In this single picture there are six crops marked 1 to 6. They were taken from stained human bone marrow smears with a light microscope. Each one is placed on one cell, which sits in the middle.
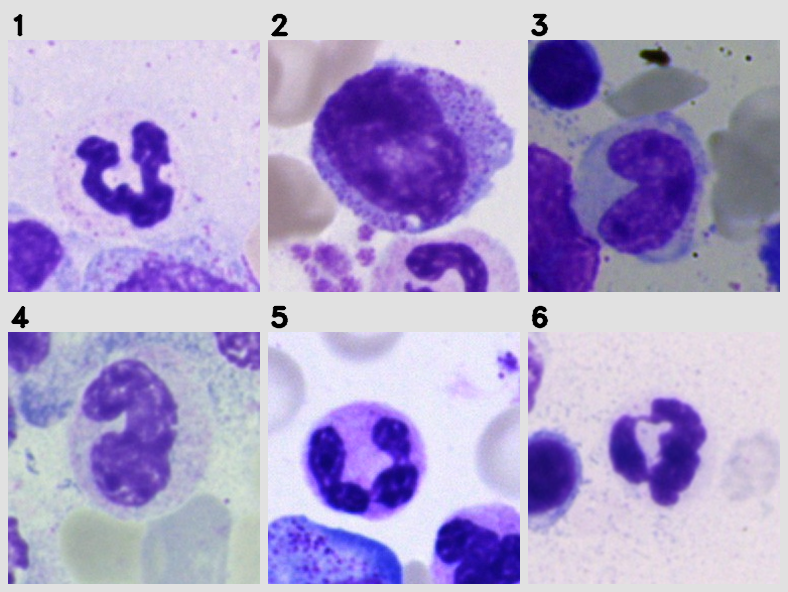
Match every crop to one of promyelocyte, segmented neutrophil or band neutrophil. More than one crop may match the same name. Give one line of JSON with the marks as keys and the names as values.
{"1": "segmented neutrophil", "2": "promyelocyte", "3": "band neutrophil", "4": "band neutrophil", "5": "segmented neutrophil", "6": "segmented neutrophil"}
